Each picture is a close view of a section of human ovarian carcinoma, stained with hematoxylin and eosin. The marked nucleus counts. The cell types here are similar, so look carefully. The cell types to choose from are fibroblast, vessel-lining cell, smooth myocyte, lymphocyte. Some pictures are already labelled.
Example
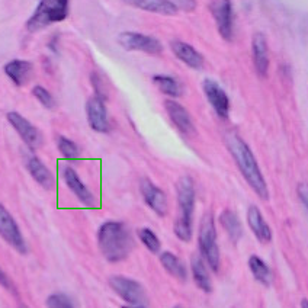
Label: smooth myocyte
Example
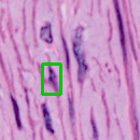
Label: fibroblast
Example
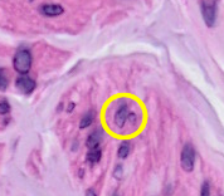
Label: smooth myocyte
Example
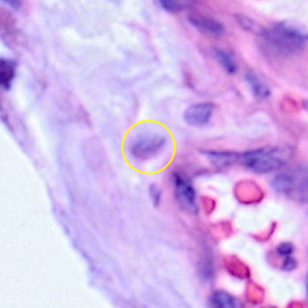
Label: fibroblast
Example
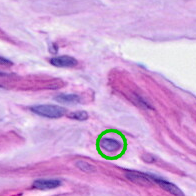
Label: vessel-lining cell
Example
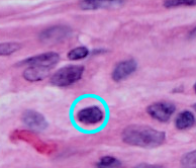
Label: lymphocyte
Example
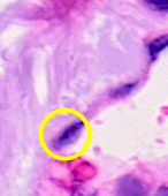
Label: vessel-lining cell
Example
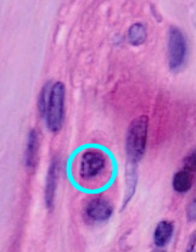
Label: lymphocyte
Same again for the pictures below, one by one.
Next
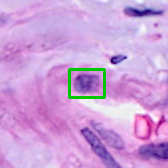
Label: vessel-lining cell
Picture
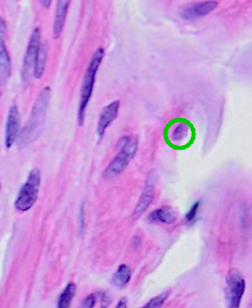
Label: smooth myocyte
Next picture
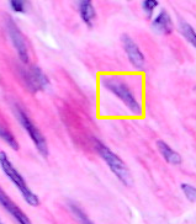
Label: smooth myocyte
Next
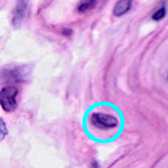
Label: lymphocyte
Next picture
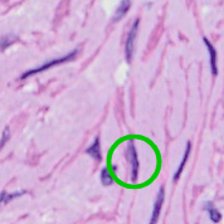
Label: fibroblast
